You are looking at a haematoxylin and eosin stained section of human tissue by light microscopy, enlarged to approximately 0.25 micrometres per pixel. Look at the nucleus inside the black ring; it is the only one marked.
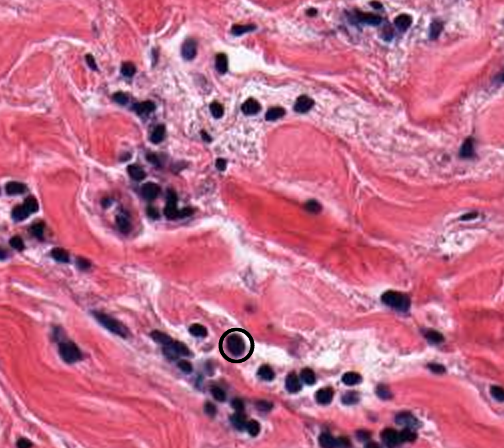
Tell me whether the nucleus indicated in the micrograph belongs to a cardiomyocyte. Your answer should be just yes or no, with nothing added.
no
